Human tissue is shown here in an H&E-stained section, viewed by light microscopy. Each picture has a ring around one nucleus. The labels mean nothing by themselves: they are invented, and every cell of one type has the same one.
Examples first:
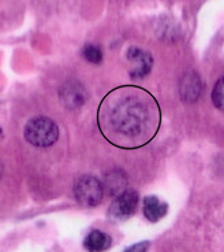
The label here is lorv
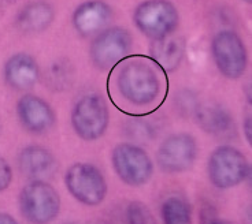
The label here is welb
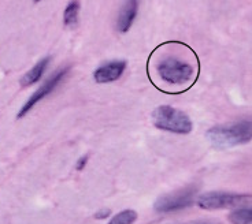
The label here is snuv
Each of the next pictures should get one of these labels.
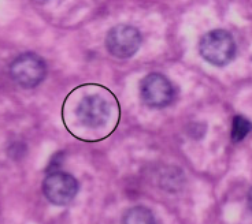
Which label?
lorv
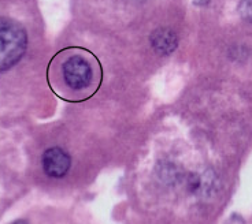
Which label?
lorv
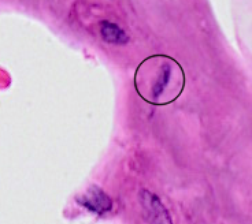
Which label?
snuv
